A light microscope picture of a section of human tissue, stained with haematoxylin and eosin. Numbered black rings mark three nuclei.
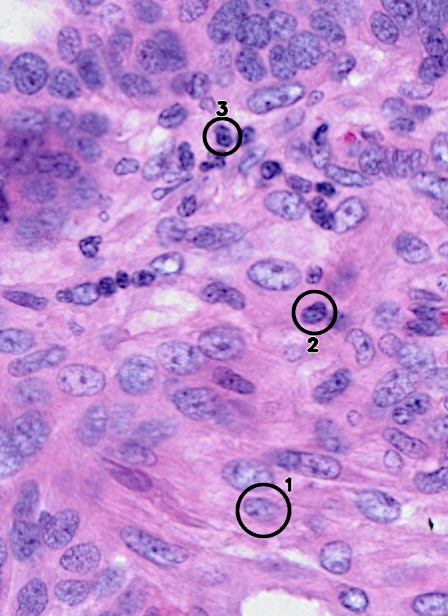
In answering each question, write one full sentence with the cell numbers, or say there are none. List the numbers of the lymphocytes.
As for the cells numbered 2 and 3, they are lymphocytes.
